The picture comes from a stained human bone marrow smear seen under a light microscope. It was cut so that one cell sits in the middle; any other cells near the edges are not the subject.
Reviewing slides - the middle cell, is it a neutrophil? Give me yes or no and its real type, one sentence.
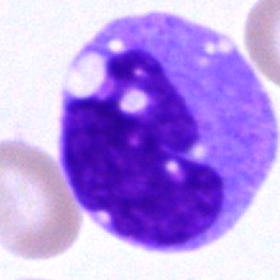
No, the cell under consideration is a monocyte instead of a neutrophil.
